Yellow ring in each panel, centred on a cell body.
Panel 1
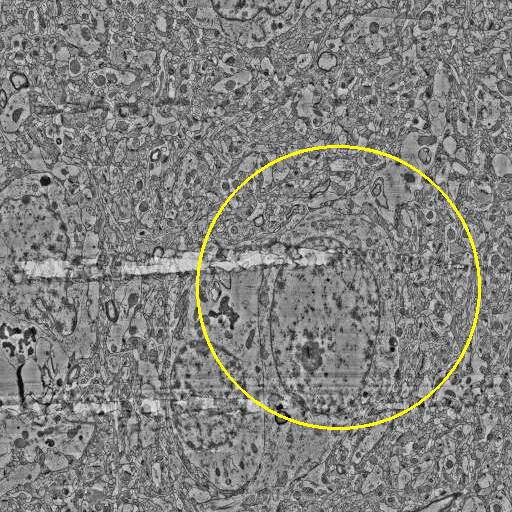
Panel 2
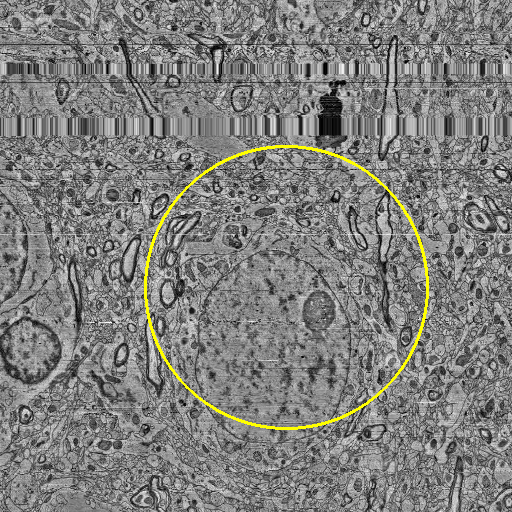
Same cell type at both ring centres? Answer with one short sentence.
Yes, both cells are of the same type.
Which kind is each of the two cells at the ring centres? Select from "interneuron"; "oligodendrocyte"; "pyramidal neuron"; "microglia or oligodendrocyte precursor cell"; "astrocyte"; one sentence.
Each one of the two ringed cells is a pyramidal neuron.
